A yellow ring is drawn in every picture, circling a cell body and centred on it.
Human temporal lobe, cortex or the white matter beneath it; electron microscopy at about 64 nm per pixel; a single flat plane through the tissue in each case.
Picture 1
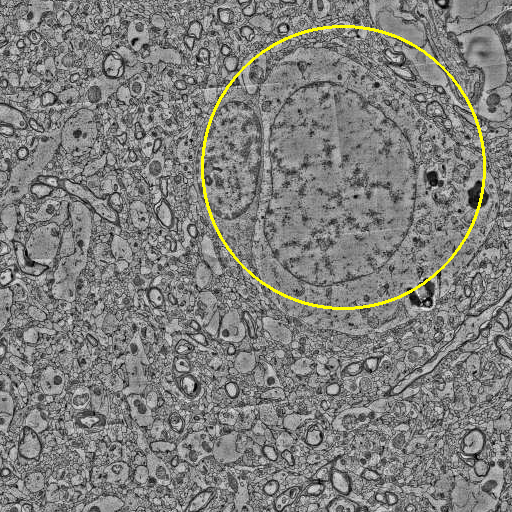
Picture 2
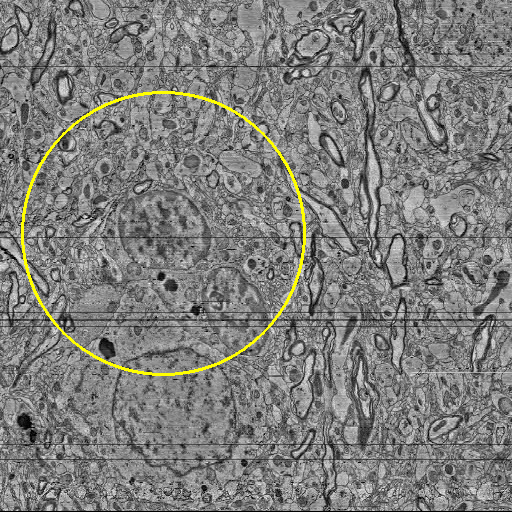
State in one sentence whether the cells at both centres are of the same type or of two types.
The cells at the two ring centres, one per picture, are of two types.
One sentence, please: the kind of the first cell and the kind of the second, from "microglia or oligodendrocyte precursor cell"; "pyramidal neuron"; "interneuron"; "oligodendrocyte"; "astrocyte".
The ring in the first picture surrounds a pyramidal neuron, and the ring in the second surrounds an oligodendrocyte.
